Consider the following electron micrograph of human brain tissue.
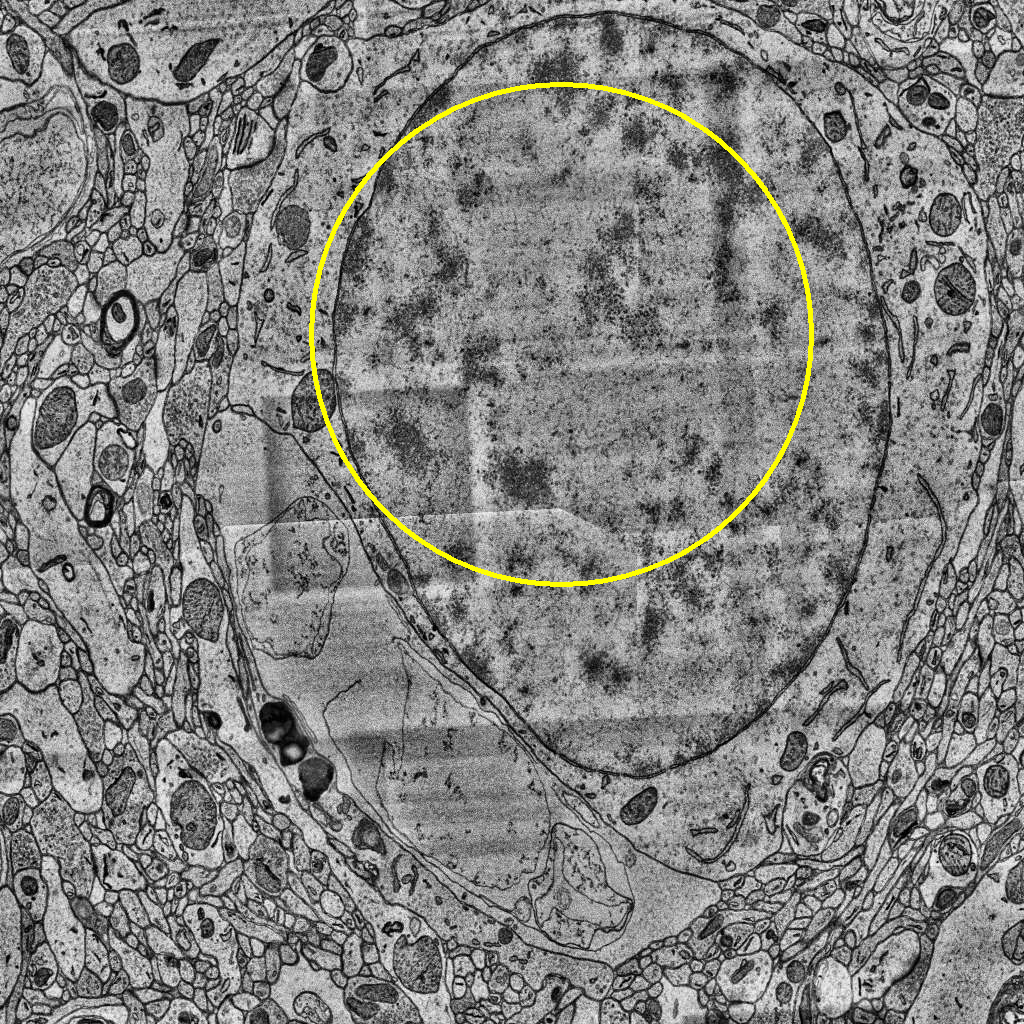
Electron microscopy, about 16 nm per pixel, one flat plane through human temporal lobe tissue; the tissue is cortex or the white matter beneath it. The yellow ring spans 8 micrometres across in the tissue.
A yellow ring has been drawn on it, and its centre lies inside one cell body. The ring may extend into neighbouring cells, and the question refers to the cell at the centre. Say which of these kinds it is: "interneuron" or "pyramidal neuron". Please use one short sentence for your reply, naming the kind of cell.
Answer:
The centre of the ring falls on a pyramidal neuron.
